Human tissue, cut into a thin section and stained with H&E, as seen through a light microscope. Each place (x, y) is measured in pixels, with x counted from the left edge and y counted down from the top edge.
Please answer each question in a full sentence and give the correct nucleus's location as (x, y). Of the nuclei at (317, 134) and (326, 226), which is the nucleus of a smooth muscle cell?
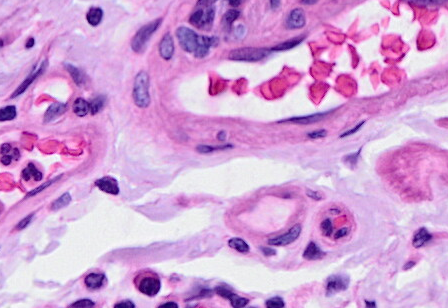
Between the pair, the nucleus at (317, 134) belongs to a smooth muscle cell.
